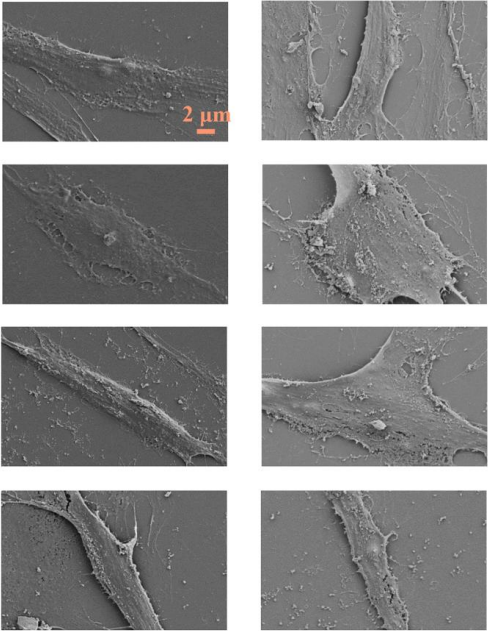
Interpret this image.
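Most cells are elongated and spindle-shaped, tapering toward both ends, while some fields show broader, more spread cell bodies with irregular margins. The cell surfaces carry many small granules and particles. Fine thread-like processes extend from the cell margins across the surrounding surface. Scattered small particles also lie on the substrate between the cells.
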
